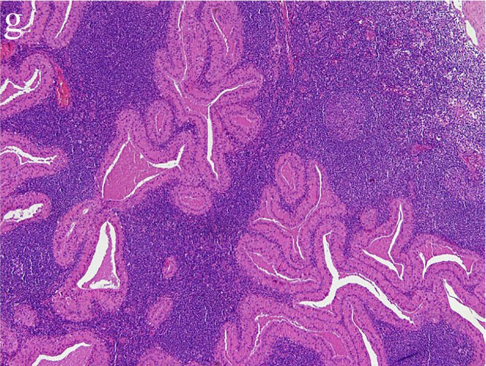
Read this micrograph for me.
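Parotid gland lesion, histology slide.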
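Bands of pink-staining epithelium fold and branch around narrow slit-like and irregular cystic spaces, some of which hold pale pink material. The epithelium forms layered rows with nuclei lined up along it. Between and around these folds lie dense sheets of small round cells with dark purple nuclei, giving the stroma a deep violet colour, with some rounded paler nodules within it. Solid areas of lymphoid tissue alternate with areas of cystic, papillary epithelium across the field.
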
